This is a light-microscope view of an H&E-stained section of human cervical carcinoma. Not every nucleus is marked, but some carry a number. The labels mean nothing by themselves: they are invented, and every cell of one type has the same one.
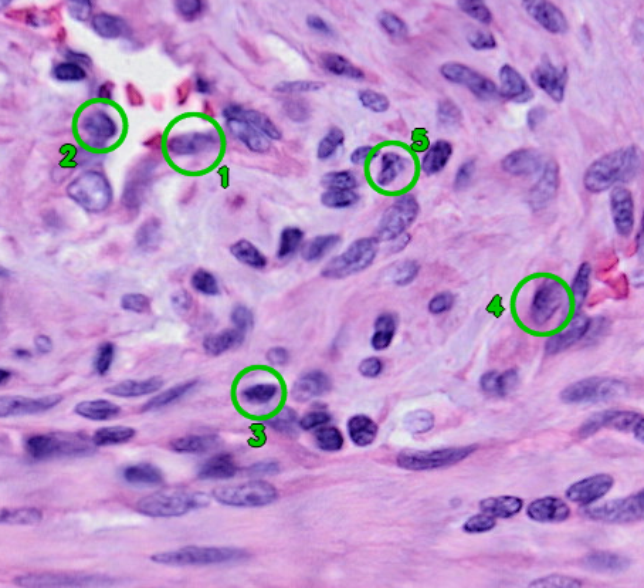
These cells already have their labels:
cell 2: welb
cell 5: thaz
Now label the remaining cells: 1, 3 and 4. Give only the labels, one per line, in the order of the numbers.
welb
thaz
welb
